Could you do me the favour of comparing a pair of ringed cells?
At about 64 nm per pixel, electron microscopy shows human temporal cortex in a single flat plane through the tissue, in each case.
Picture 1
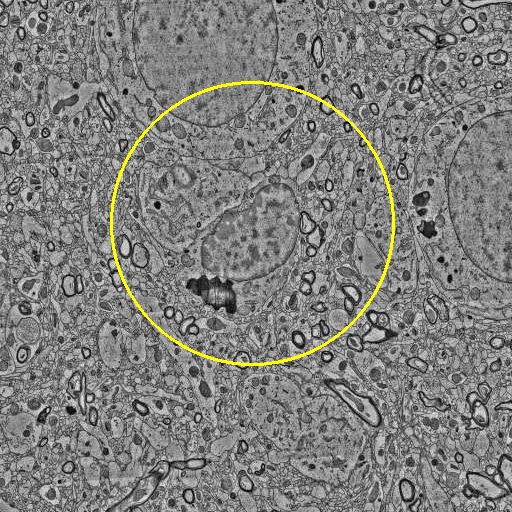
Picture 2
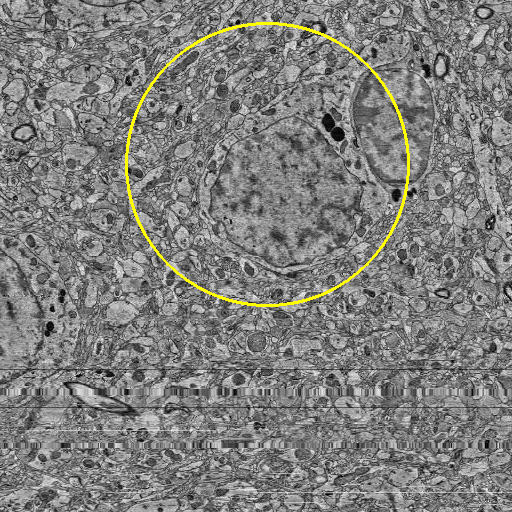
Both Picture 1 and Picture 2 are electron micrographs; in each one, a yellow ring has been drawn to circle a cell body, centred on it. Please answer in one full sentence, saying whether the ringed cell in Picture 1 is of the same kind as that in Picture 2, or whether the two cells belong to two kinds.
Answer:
The ringed cells in Picture 1 and Picture 2 belong to two kinds.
